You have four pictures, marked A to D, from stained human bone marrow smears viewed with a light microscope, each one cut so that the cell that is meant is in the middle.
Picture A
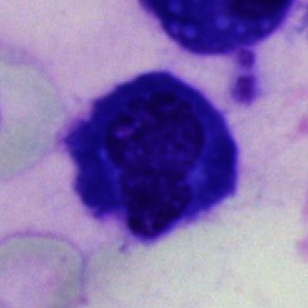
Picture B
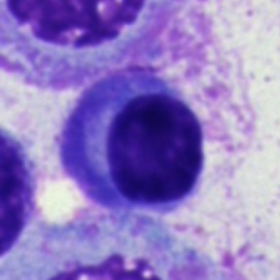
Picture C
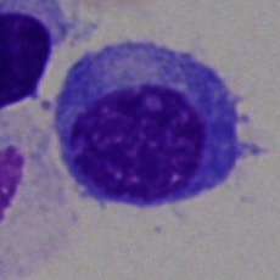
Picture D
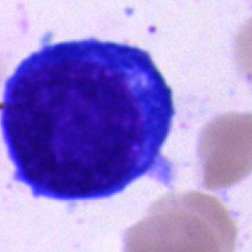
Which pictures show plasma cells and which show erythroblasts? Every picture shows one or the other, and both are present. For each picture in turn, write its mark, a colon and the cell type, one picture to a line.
A: plasma cell
B: plasma cell
C: plasma cell
D: erythroblast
